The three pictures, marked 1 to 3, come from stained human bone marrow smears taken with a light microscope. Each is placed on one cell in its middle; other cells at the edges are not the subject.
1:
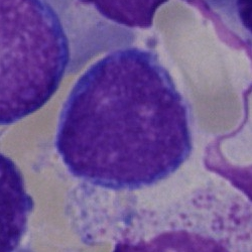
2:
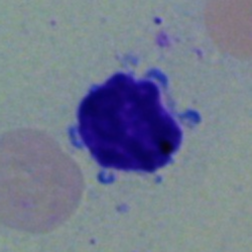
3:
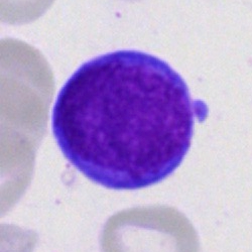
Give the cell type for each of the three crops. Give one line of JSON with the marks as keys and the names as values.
{"1": "blast", "2": "lymphocyte", "3": "blast"}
